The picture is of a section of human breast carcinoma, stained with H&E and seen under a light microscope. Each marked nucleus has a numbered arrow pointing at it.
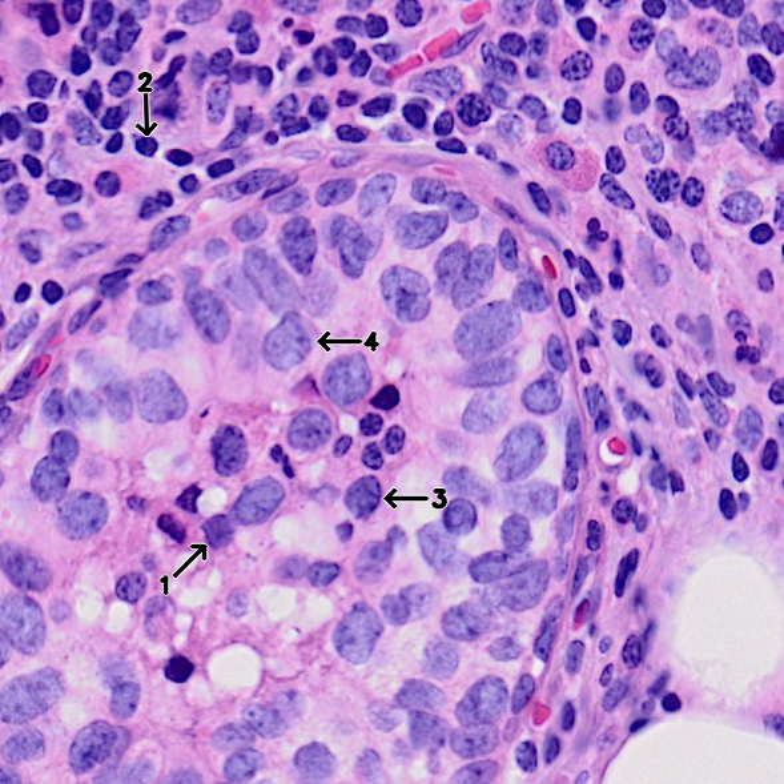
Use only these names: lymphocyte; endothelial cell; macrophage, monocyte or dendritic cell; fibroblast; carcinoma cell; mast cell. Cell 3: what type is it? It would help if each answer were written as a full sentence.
Number 3 is placed on a carcinoma cell here.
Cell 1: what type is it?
Nucleus 1 in this section belongs to a carcinoma cell.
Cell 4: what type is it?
The one numbered 4 among the marked cells is a carcinoma cell.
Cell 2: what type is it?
Cell 2, as marked in the section, is a lymphocyte.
